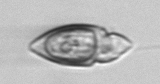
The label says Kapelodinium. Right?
Right.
